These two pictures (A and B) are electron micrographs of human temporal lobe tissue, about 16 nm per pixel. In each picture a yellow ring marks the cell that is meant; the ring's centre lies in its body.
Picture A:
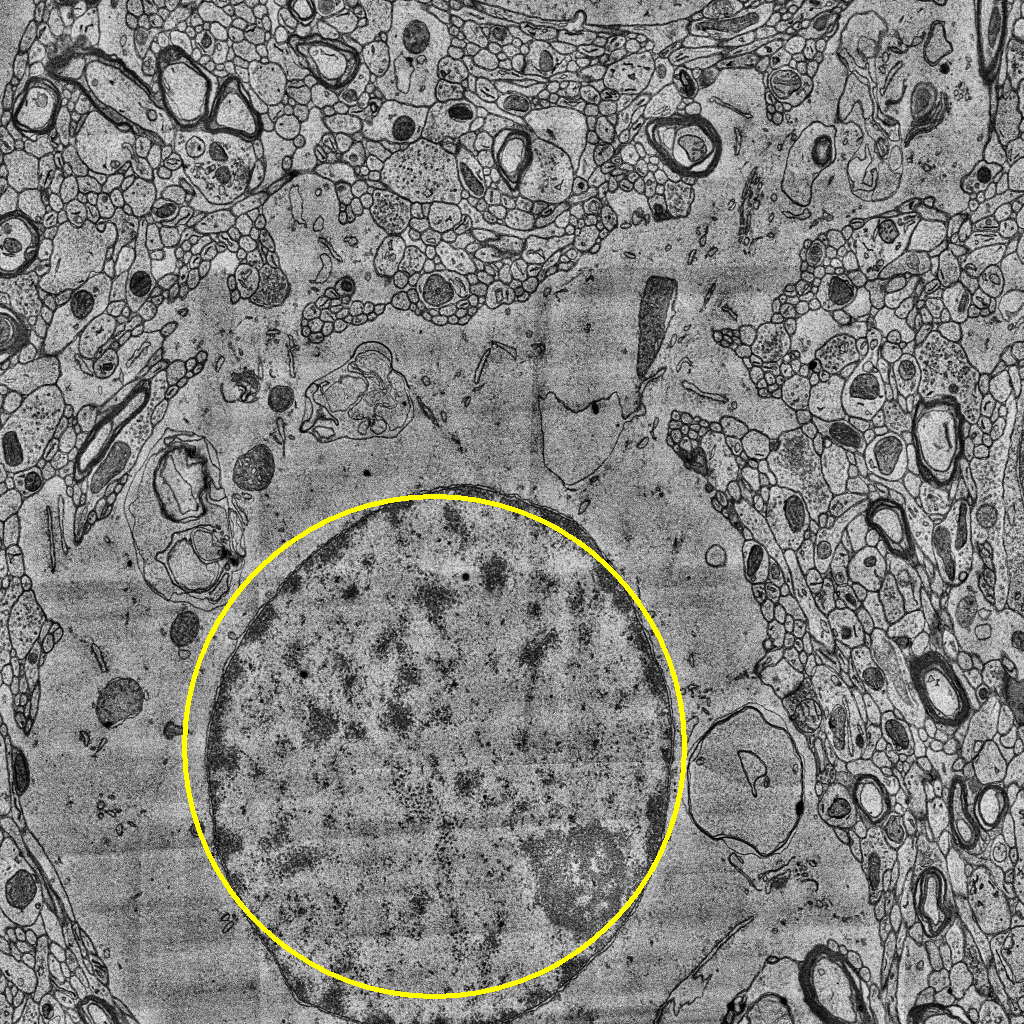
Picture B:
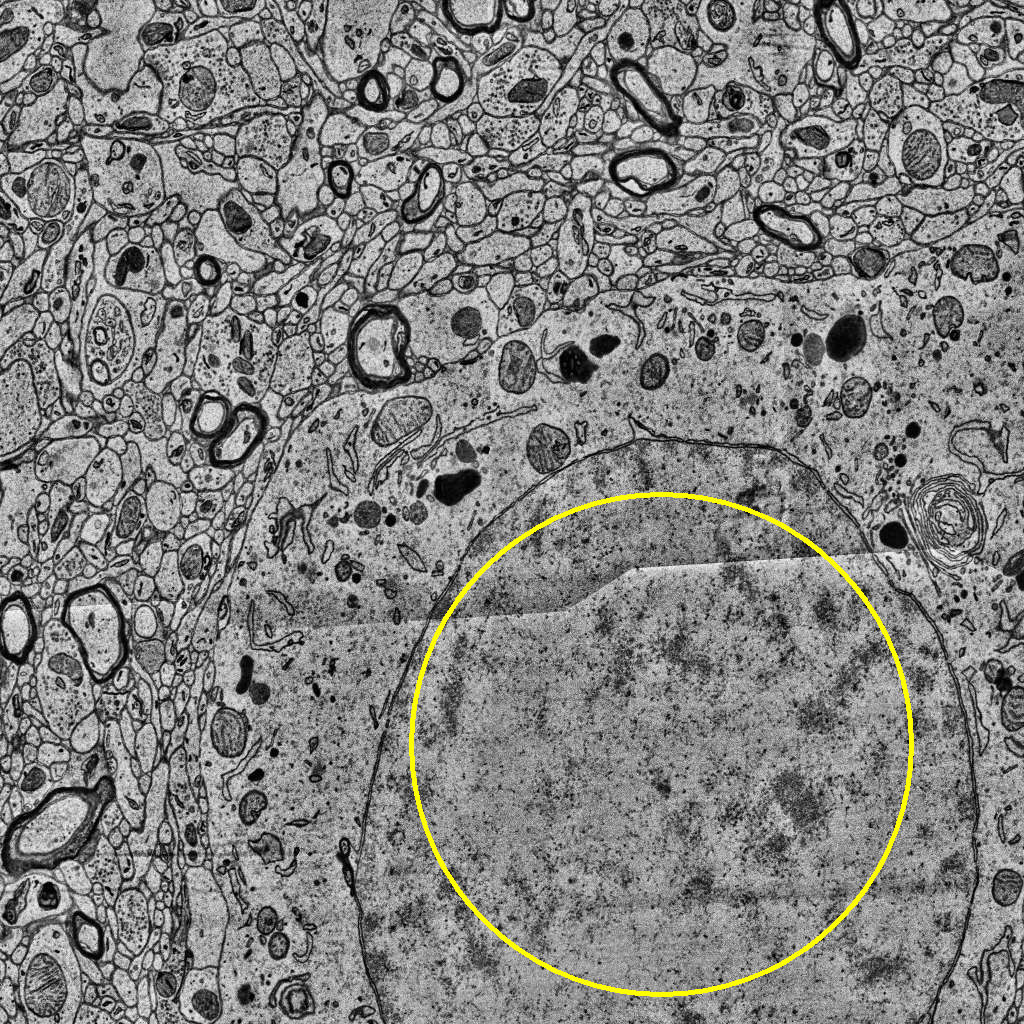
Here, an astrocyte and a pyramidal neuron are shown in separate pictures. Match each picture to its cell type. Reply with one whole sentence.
It is picture A that shows an astrocyte, and picture B that shows a pyramidal neuron.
